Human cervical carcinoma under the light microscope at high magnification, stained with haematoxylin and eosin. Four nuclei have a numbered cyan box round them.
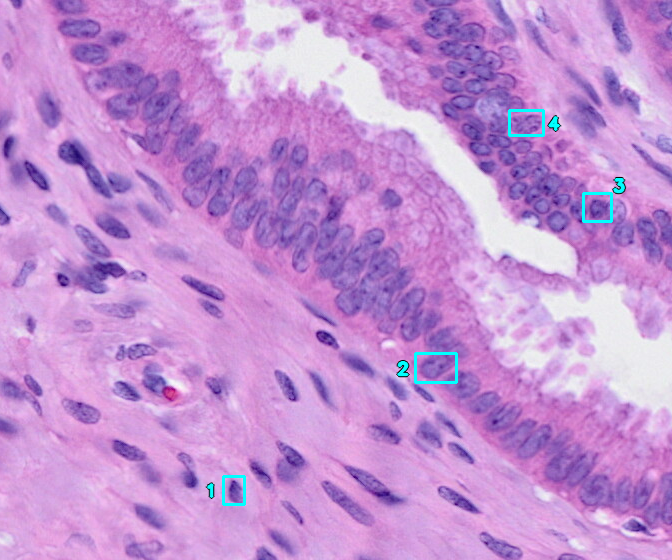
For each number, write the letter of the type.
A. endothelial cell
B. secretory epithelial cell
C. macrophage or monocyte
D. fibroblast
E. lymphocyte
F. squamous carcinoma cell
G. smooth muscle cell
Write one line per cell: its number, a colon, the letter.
1: D
2: B
3: B
4: B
